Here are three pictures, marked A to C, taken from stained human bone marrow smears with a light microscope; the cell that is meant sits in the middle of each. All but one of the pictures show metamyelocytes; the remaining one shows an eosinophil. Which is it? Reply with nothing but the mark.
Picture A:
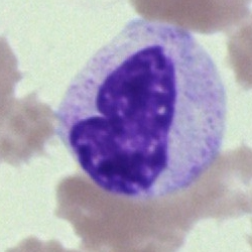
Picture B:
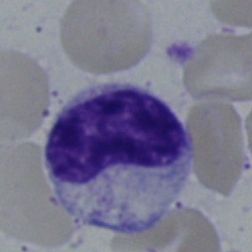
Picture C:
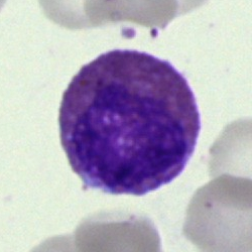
C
